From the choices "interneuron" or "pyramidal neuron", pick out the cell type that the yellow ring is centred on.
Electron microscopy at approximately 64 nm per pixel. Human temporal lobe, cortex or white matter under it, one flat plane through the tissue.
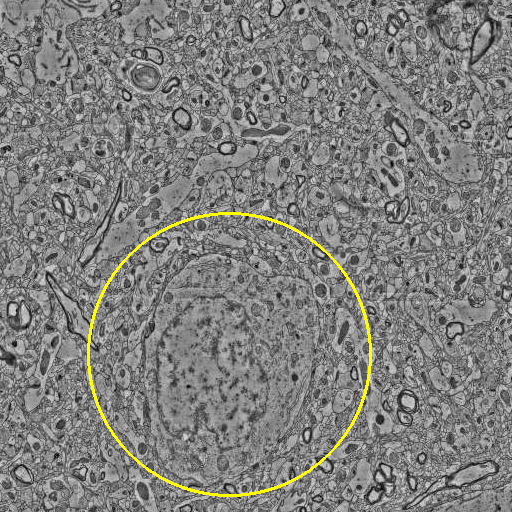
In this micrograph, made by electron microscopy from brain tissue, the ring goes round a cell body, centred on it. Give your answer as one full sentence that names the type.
The yellow ring is centred on an interneuron, whose cell body it encircles in the picture.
